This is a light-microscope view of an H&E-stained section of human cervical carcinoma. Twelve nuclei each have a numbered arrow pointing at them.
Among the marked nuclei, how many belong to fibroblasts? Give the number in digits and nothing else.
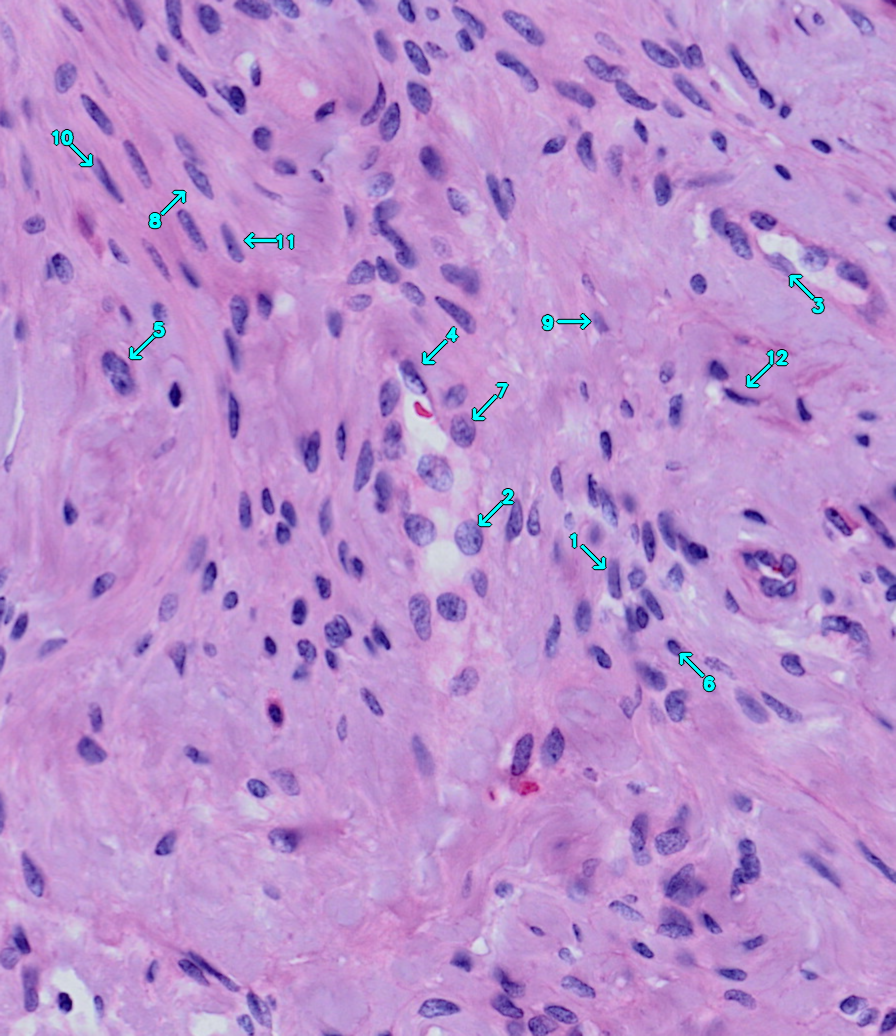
7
